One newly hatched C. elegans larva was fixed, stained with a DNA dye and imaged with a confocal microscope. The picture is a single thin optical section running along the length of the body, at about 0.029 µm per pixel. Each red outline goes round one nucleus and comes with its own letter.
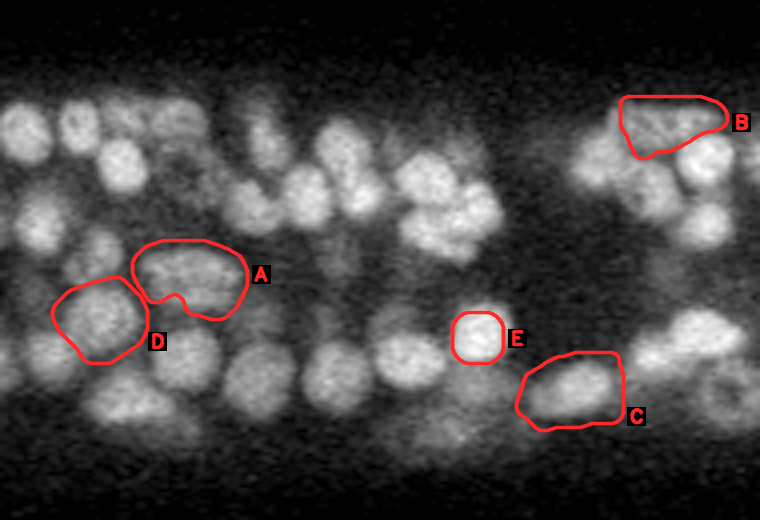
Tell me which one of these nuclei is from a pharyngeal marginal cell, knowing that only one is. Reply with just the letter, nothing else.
A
